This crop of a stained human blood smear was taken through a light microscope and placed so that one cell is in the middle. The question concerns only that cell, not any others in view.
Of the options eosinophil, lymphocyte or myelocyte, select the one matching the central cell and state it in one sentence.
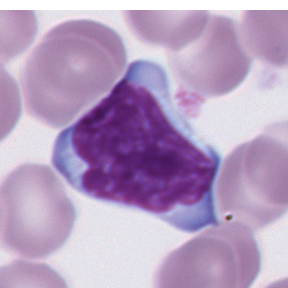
The cell in the exact centre of the crop is a lymphocyte.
